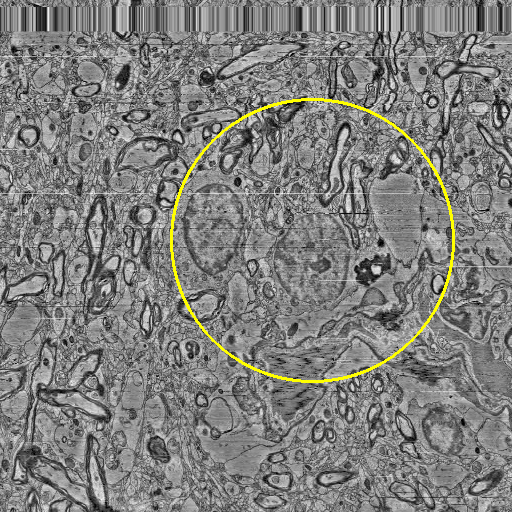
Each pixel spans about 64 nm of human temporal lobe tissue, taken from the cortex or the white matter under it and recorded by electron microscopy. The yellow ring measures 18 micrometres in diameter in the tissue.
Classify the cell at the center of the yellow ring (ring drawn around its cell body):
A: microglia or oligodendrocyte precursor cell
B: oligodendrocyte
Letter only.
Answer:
B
